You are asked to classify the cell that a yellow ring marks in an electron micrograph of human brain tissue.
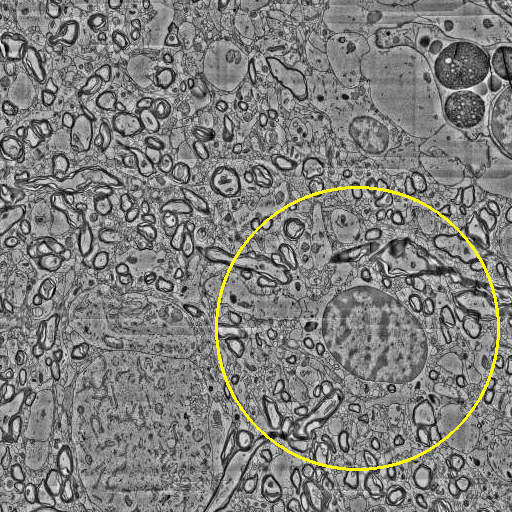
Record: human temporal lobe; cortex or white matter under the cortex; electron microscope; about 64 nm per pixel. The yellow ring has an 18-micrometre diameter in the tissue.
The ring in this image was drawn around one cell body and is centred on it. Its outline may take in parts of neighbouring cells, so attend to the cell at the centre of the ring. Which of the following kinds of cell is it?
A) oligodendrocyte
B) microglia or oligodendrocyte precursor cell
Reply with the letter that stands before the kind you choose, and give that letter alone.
B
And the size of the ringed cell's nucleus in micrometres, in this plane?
The nucleus appears roughly 7 by 6 micrometres in this plane.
